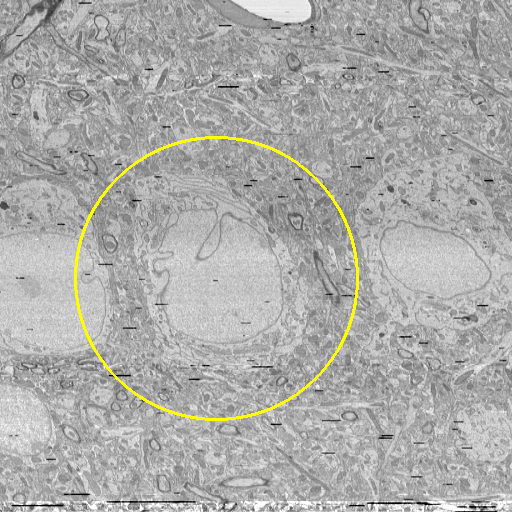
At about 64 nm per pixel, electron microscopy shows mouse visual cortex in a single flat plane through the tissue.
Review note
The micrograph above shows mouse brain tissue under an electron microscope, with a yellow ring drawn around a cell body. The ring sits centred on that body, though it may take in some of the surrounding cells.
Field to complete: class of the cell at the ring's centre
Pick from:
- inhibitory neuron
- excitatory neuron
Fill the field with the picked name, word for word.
inhibitory neuron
